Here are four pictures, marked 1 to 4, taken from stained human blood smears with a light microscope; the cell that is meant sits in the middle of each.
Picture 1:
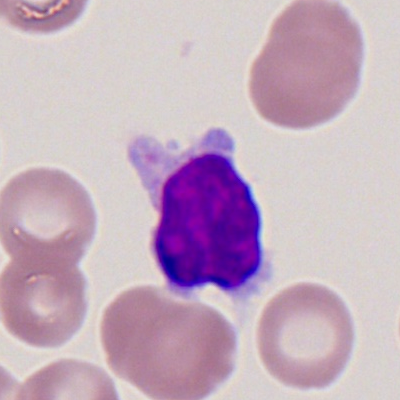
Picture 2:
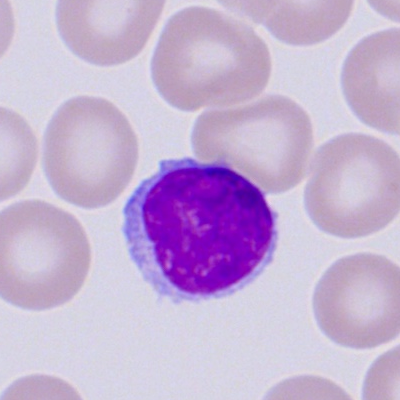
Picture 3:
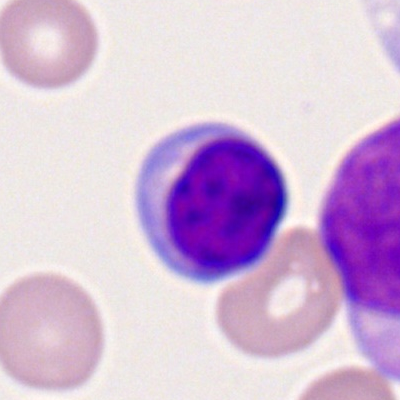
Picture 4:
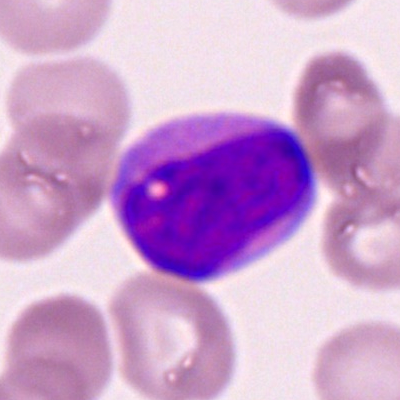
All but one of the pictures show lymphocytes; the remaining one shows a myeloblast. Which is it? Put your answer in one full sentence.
The cell in picture 4 is the myeloblast.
